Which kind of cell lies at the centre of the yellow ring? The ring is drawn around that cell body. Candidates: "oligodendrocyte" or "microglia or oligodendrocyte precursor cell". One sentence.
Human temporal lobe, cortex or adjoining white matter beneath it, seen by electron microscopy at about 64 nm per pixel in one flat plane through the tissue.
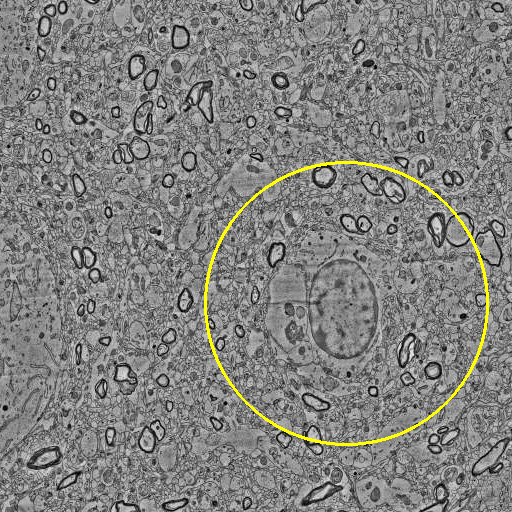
Lying at the centre of the ring is a microglial cell or oligodendrocyte precursor cell.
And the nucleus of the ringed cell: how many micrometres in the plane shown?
In this plane, approximately 6 by 4 micrometers.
